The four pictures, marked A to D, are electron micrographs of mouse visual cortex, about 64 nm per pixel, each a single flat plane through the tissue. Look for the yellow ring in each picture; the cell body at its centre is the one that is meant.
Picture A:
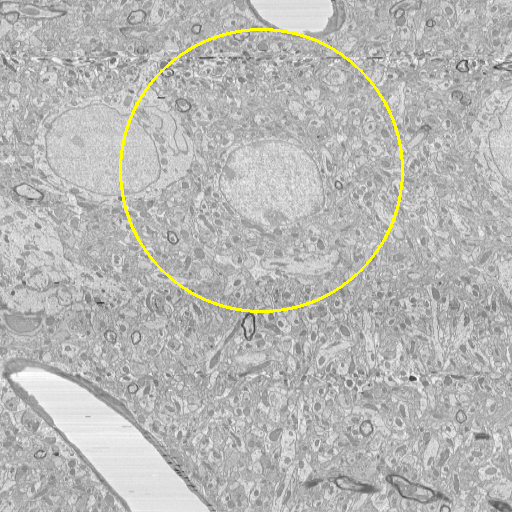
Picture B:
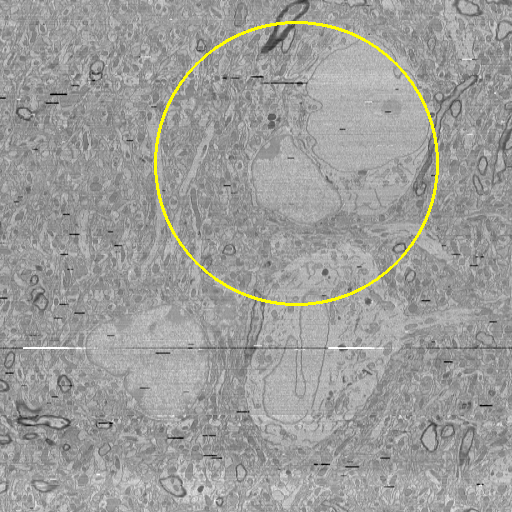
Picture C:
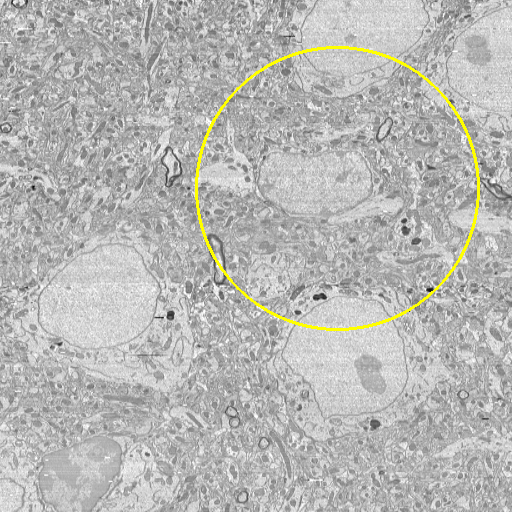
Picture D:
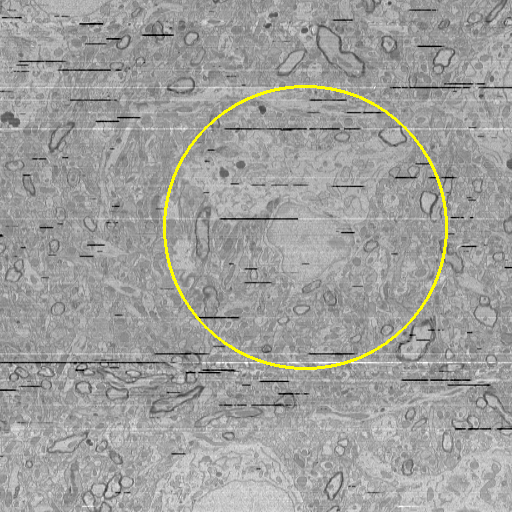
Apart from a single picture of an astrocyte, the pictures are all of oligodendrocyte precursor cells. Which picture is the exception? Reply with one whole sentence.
The astrocyte is the one in picture A.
